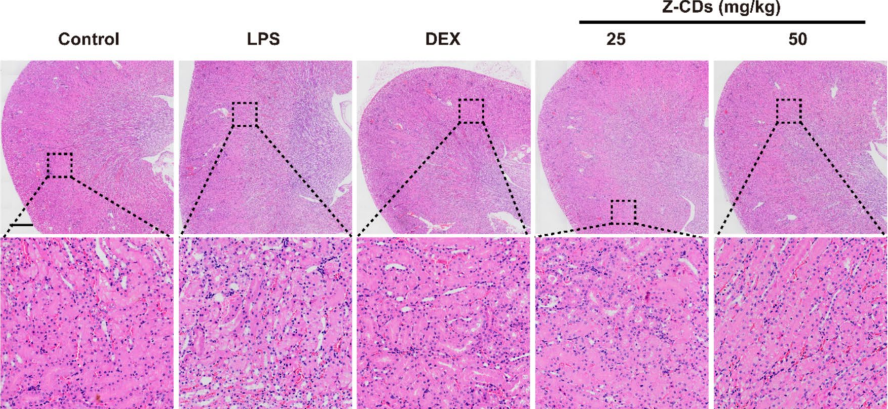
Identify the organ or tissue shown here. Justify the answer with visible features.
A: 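The low-magnification views show a solid organ with a smooth curved outer edge. An outer deeper pink zone lies over an inner paler, streaked zone.
Hence: kidney tissue.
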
